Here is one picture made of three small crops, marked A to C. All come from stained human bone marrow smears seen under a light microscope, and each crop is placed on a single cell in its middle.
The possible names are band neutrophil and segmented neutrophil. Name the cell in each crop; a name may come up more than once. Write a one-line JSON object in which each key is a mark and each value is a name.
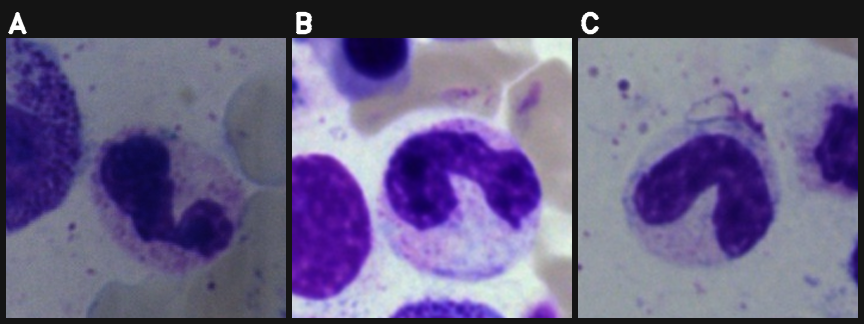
{"A": "segmented neutrophil", "B": "band neutrophil", "C": "band neutrophil"}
